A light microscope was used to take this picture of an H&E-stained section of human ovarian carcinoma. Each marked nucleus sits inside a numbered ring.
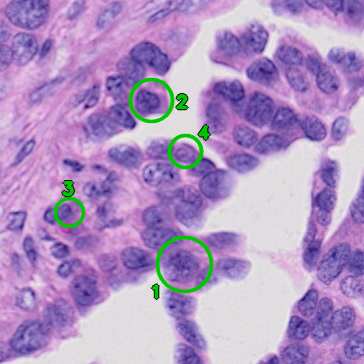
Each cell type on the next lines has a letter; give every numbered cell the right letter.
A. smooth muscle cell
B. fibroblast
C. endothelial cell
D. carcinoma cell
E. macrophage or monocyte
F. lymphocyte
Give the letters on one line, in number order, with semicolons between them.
D; D; C; D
